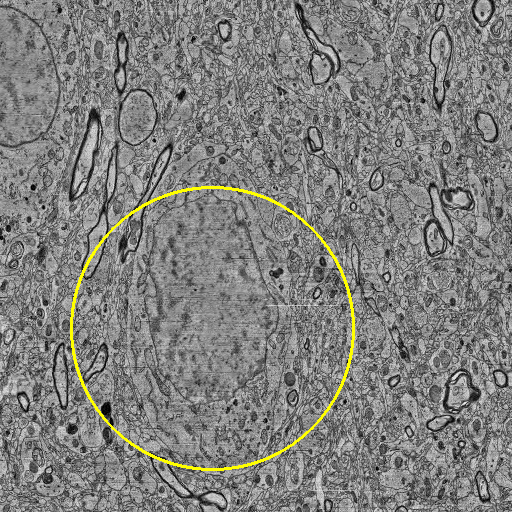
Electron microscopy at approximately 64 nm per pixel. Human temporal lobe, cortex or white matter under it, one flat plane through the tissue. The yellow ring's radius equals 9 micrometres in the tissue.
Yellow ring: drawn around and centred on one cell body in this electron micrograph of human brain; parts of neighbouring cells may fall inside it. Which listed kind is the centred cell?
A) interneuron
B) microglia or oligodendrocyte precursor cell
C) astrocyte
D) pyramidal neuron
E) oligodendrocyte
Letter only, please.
A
